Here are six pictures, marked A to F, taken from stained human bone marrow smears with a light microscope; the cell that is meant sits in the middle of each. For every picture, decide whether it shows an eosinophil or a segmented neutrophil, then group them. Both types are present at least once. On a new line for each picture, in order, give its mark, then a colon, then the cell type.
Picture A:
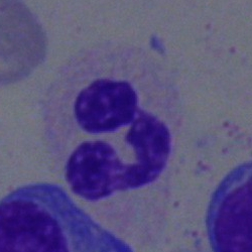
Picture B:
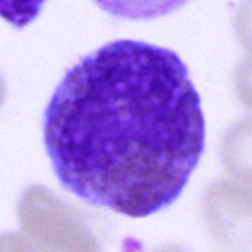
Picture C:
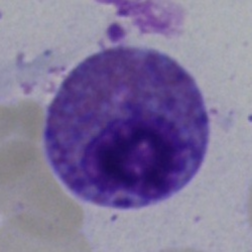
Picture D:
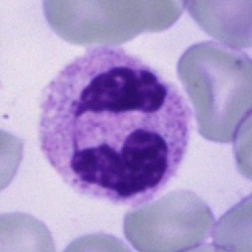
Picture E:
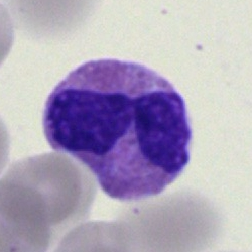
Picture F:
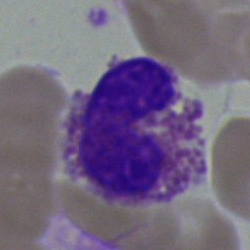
A: segmented neutrophil
B: eosinophil
C: eosinophil
D: segmented neutrophil
E: eosinophil
F: eosinophil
